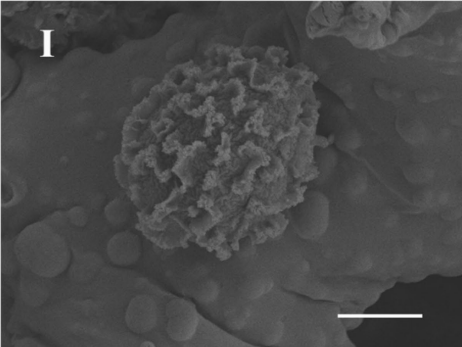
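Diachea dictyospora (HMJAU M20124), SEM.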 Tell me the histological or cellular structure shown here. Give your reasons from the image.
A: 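Sparse and large ridges. A single round body is covered with irregular, wavy raised crests.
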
